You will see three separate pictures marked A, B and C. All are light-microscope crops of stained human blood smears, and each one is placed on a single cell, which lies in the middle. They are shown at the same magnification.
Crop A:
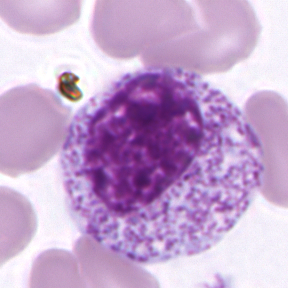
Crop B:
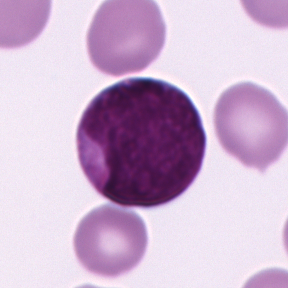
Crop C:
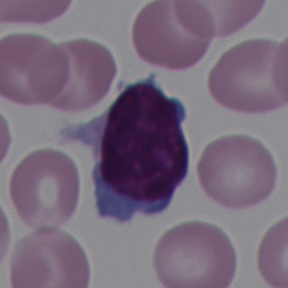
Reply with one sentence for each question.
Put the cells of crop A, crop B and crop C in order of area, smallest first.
Smallest first: C, B, A.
